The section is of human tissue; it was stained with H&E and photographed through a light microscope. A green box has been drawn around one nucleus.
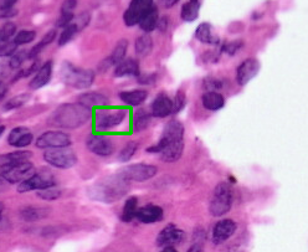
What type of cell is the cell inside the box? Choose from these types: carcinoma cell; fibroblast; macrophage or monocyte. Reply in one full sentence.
The identity of the cell inside the box is that of a carcinoma cell.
